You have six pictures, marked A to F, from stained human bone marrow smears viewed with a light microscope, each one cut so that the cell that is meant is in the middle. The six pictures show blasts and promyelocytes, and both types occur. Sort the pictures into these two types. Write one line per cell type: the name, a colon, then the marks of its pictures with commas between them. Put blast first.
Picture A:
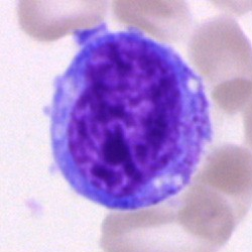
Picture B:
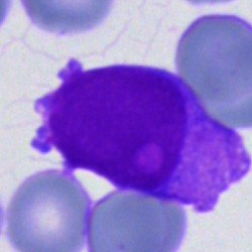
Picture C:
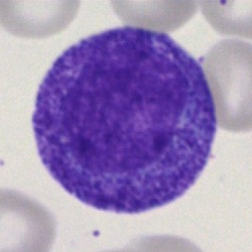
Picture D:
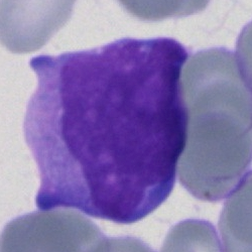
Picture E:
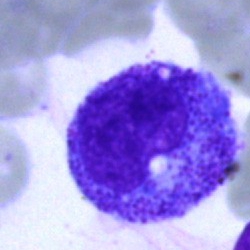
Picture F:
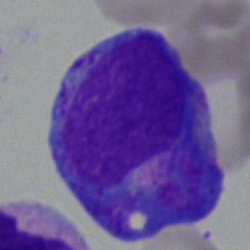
blast: B, D
promyelocyte: A, C, E, F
